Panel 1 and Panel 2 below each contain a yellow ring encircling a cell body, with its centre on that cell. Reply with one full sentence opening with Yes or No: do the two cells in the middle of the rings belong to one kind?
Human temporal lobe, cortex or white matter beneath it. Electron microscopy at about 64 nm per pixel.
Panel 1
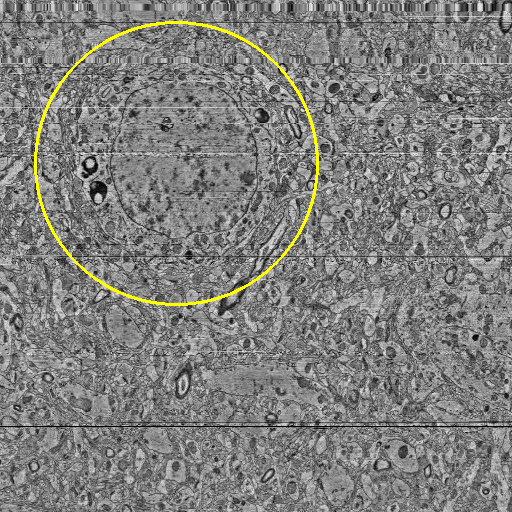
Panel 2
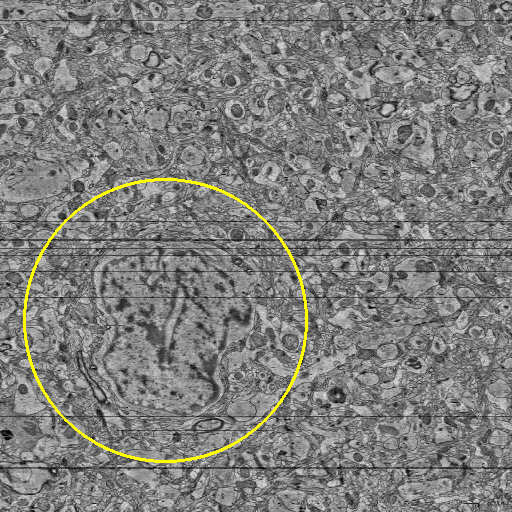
No, the cells at the middle of the Panel 1 ring and the Panel 2 ring are of two kinds.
